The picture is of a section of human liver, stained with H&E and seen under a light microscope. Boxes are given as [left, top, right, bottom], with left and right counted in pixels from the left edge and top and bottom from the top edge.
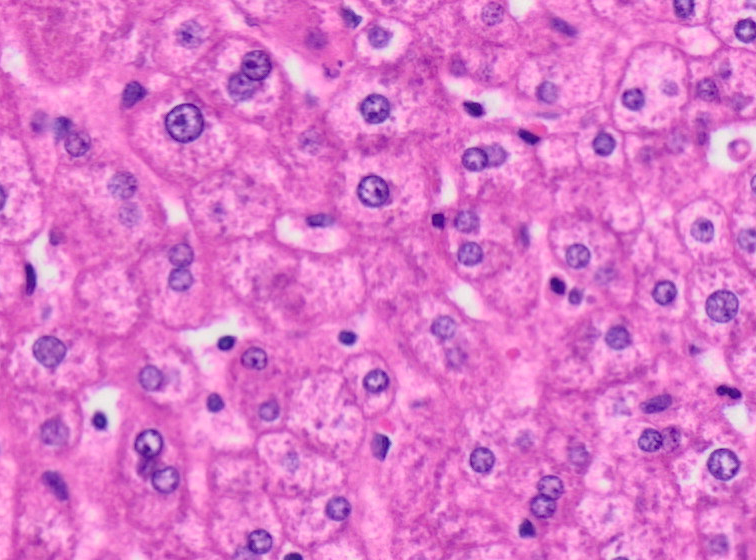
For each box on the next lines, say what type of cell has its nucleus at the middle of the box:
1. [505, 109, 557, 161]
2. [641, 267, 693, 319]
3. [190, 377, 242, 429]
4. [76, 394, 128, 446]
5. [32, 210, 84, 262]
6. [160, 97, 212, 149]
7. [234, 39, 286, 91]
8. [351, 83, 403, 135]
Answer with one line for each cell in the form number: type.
1: fibroblast or stellate cell
2: hepatocyte
3: lymphocyte
4: lymphocyte
5: Kupffer cell
6: hepatocyte
7: hepatocyte
8: hepatocyte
